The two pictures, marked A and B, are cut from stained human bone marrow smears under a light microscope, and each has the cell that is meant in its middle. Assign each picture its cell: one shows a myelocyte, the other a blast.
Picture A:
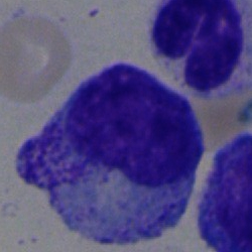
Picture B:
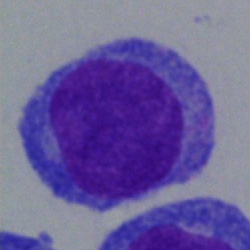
A: myelocyte
B: blast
